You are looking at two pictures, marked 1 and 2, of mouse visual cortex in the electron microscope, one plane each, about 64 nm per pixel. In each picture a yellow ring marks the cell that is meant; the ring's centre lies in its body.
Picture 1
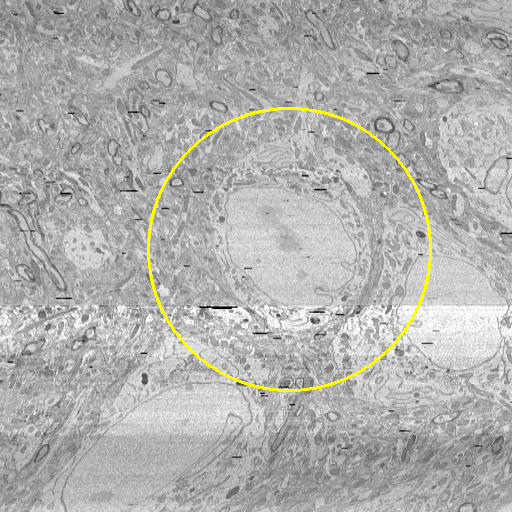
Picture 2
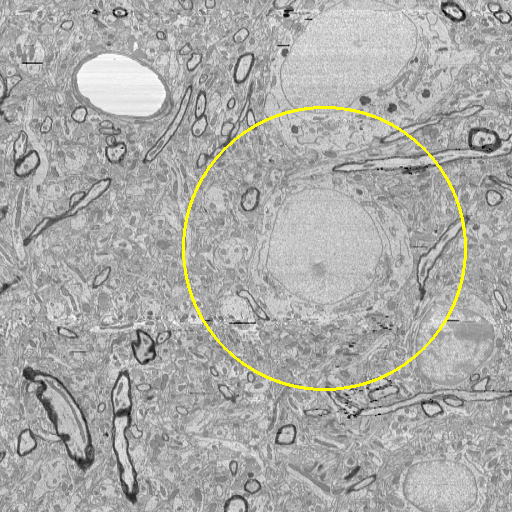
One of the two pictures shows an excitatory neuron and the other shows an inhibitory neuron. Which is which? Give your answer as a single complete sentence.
Picture 1 shows an inhibitory neuron and picture 2 shows an excitatory neuron.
